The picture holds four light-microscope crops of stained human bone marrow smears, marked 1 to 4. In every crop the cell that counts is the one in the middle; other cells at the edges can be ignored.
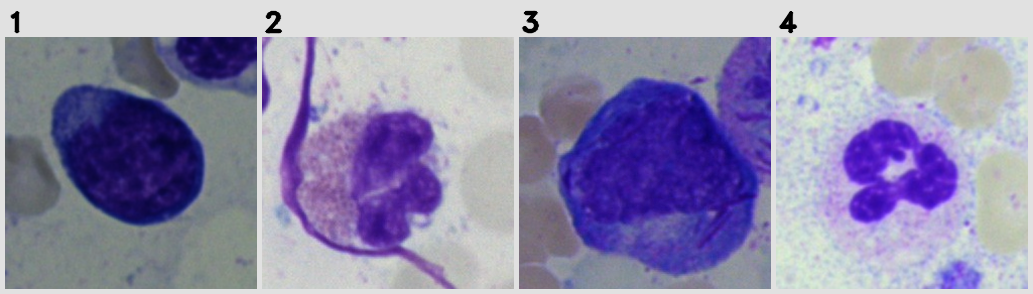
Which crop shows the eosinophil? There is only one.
2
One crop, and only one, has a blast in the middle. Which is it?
1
